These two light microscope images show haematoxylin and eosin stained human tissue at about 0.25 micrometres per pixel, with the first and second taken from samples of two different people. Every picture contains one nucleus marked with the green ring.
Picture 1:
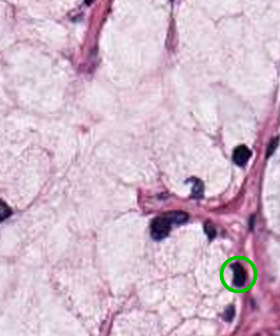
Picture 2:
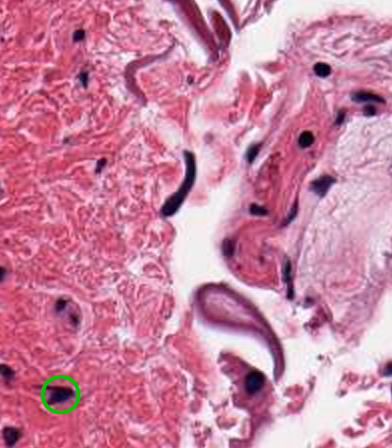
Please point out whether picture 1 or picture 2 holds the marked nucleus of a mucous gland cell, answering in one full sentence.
Picture 1 marks the nucleus of a mucous gland cell, whereas the other picture does not.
